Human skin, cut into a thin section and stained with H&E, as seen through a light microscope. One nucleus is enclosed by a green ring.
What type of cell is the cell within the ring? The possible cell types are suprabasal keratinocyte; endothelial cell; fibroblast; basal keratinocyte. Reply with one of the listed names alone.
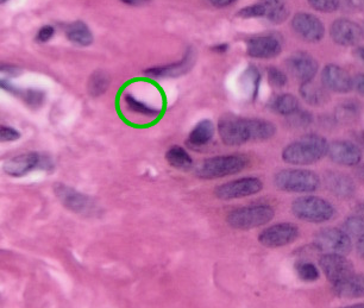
fibroblast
